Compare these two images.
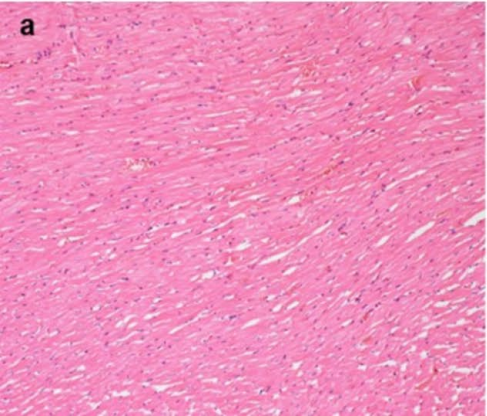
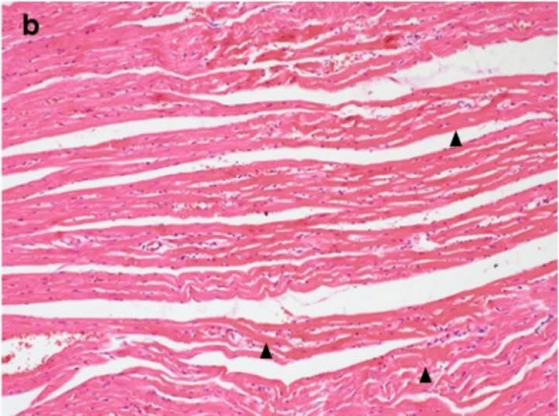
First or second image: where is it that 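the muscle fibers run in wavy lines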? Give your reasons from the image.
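The second image. Second image: fibers undulate and are separated by wide white clefts. First image: fibers run straight, parallel and closely packed.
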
